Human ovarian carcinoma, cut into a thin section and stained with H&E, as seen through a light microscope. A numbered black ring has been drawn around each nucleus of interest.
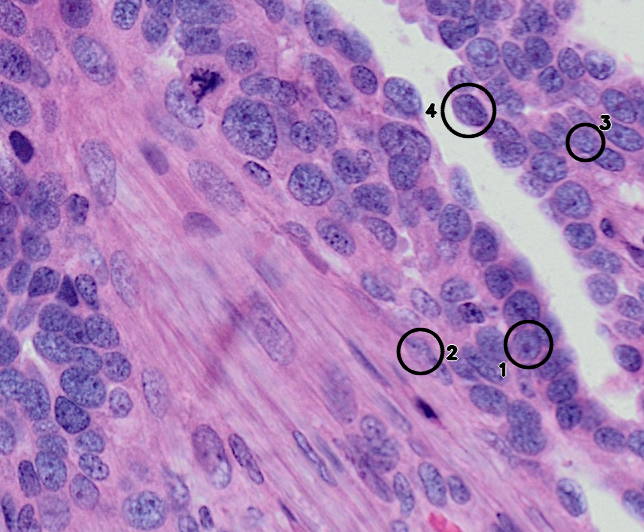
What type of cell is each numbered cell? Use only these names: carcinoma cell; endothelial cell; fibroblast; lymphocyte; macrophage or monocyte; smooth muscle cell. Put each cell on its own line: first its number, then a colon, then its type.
1: carcinoma cell
2: fibroblast
3: carcinoma cell
4: carcinoma cell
